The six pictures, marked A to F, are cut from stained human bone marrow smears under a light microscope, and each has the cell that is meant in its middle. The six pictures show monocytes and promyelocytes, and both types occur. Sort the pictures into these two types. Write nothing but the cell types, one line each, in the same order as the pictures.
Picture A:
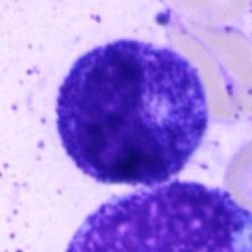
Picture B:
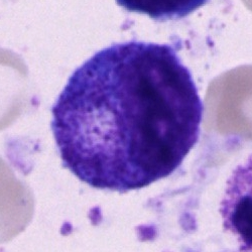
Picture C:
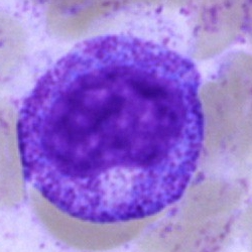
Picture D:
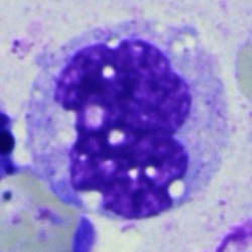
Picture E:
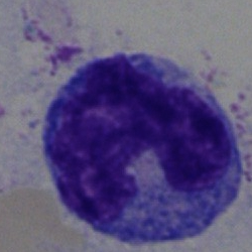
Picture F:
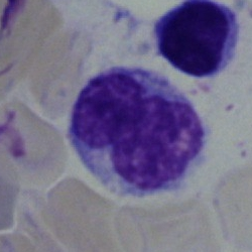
promyelocyte
promyelocyte
promyelocyte
monocyte
monocyte
monocyte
